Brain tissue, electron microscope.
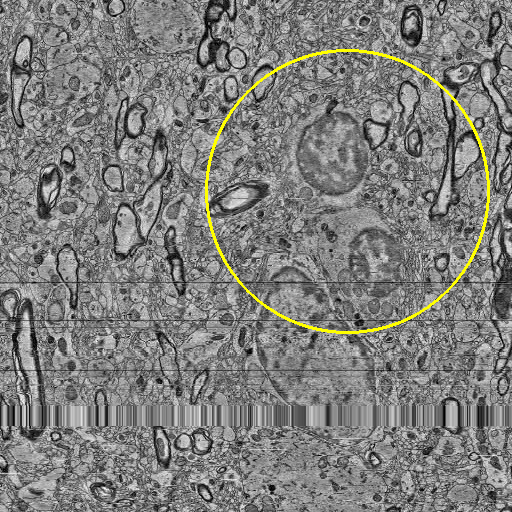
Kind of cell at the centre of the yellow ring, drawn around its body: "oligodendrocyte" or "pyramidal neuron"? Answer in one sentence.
The ring's centre falls on an oligodendrocyte.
